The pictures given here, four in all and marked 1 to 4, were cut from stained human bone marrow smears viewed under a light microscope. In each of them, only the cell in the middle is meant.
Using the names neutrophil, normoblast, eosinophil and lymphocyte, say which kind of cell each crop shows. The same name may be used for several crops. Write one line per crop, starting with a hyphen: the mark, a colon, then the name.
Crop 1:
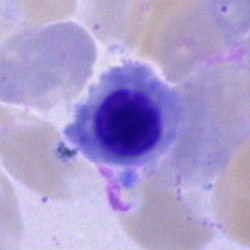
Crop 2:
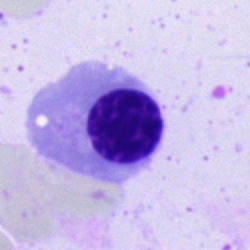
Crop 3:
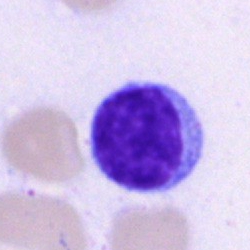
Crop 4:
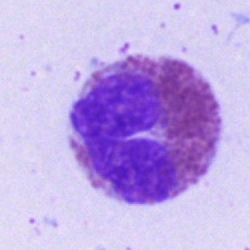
- 1: normoblast
- 2: normoblast
- 3: lymphocyte
- 4: eosinophil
